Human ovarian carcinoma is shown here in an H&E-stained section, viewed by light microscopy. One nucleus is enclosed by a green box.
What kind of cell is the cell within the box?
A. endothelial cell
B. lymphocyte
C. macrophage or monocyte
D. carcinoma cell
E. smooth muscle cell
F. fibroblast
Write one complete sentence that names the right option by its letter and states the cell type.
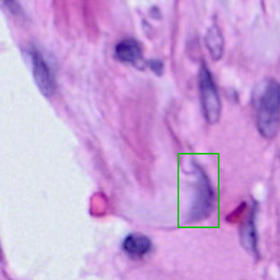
The choice that fits is option A, as the cell within the box is an endothelial cell.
